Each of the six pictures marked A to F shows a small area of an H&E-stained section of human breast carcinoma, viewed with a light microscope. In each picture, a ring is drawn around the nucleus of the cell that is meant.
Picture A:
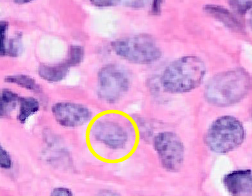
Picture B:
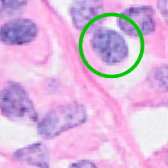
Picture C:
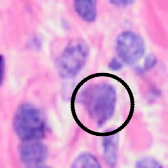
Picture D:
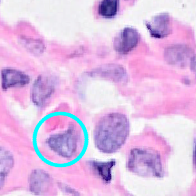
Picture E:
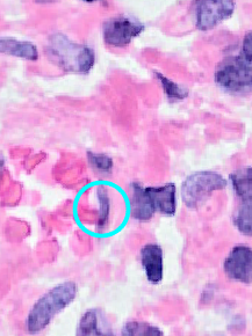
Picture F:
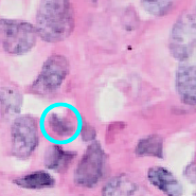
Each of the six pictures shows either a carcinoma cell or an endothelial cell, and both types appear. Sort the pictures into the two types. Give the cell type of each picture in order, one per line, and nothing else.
carcinoma cell
carcinoma cell
carcinoma cell
endothelial cell
endothelial cell
carcinoma cell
